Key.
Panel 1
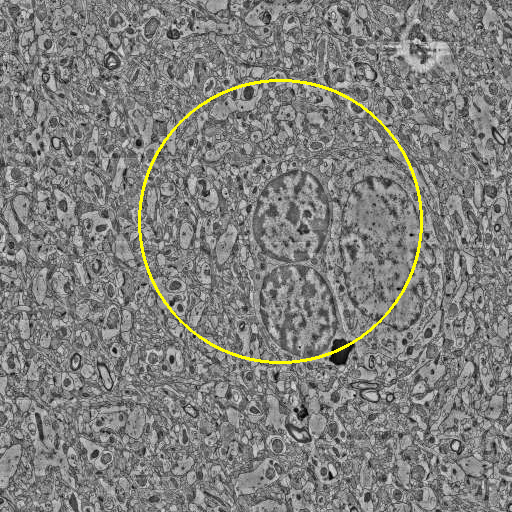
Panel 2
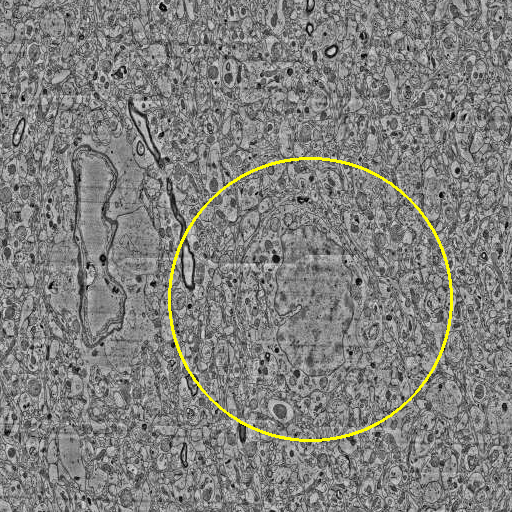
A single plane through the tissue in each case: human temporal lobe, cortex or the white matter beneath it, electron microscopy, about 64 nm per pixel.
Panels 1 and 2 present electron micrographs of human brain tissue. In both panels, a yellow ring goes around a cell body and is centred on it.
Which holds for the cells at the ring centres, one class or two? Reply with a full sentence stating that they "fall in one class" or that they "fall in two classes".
Taken together, the ring-centre cells of the two panels fall in two classes.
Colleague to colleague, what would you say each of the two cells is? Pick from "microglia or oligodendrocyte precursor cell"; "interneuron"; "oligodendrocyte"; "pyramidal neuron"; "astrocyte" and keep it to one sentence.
The cell in the first picture is an oligodendrocyte; the second picture's cell is an interneuron.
